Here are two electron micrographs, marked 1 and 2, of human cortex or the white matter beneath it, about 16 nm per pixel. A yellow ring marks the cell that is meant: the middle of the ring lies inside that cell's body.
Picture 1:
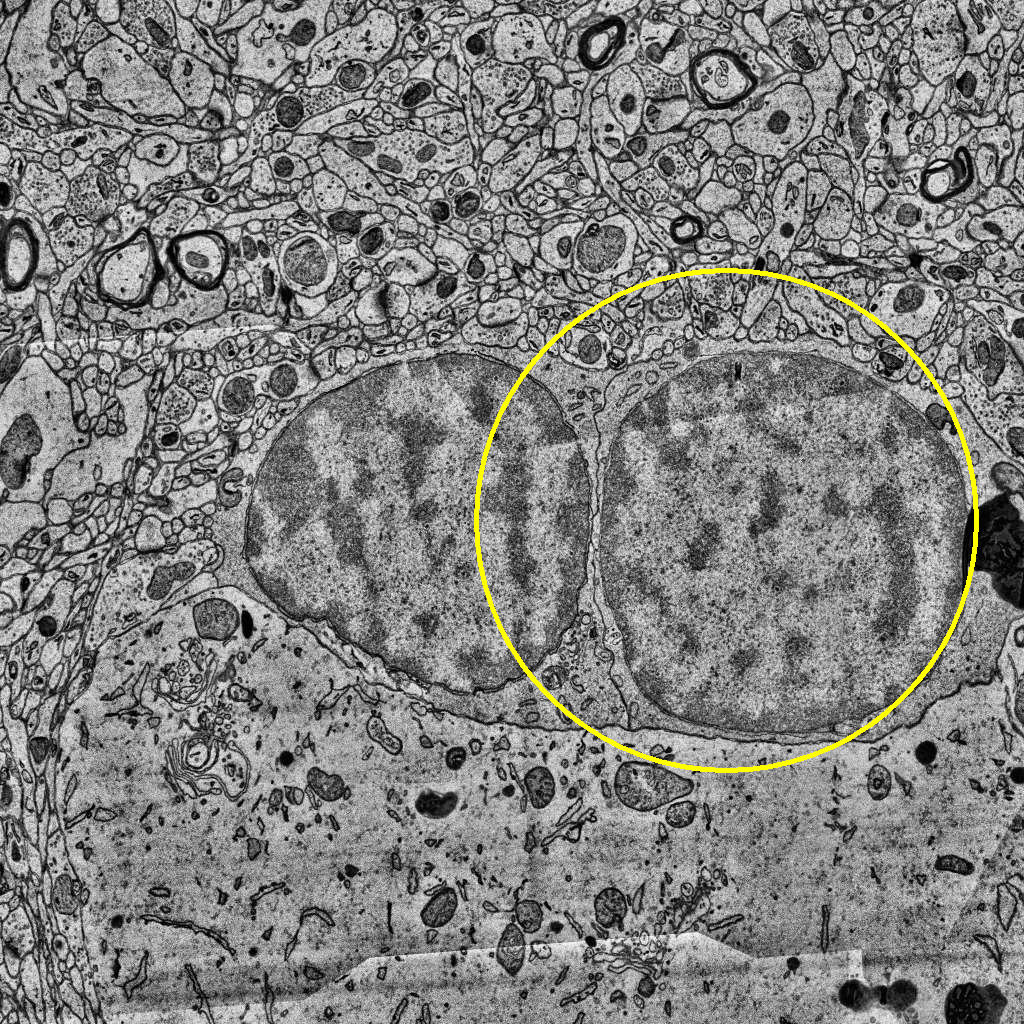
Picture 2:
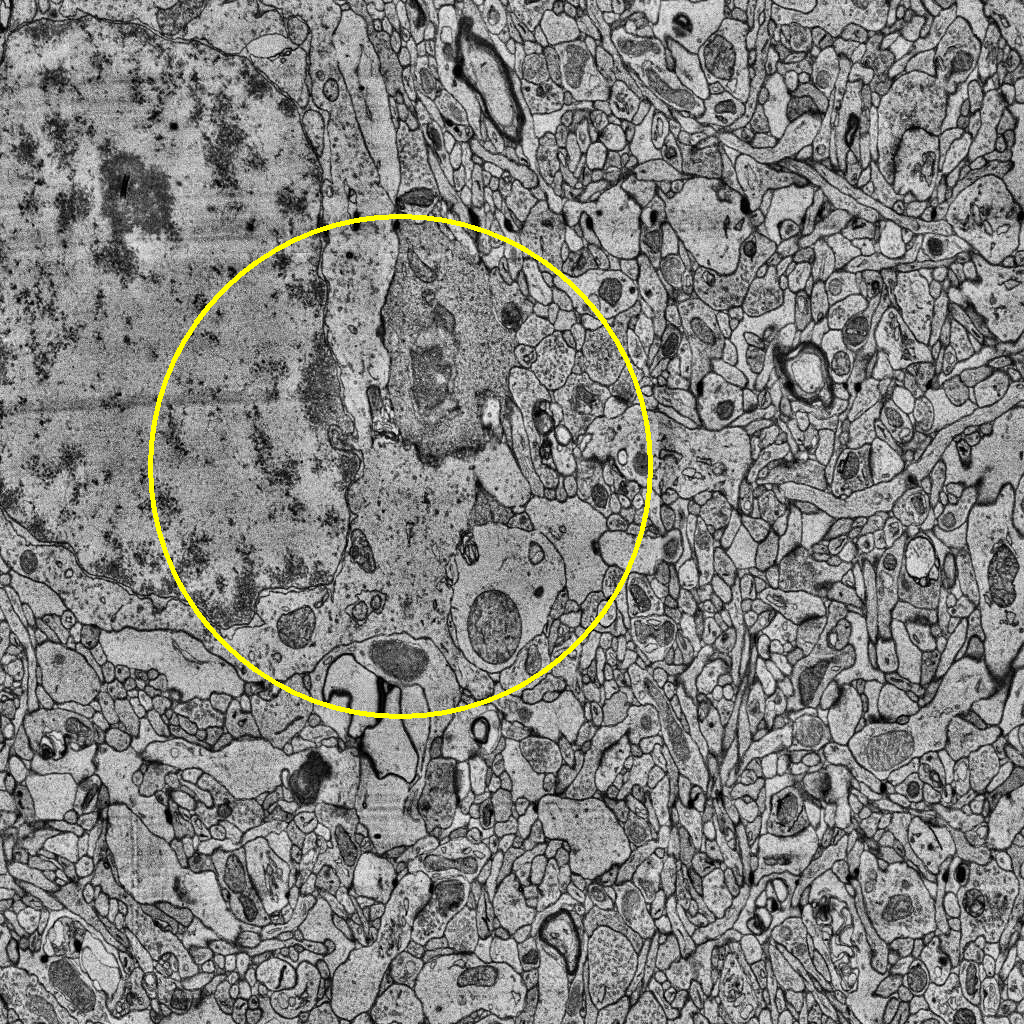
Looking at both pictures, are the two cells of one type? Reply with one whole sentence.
Yes, they are the same type: both are oligodendrocytes.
